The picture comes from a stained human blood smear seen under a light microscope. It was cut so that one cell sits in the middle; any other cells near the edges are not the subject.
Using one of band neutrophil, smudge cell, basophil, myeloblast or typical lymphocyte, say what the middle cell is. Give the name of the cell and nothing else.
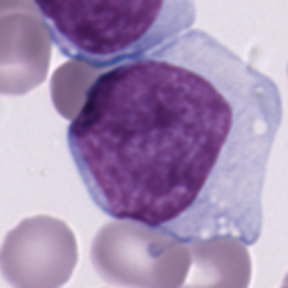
myeloblast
